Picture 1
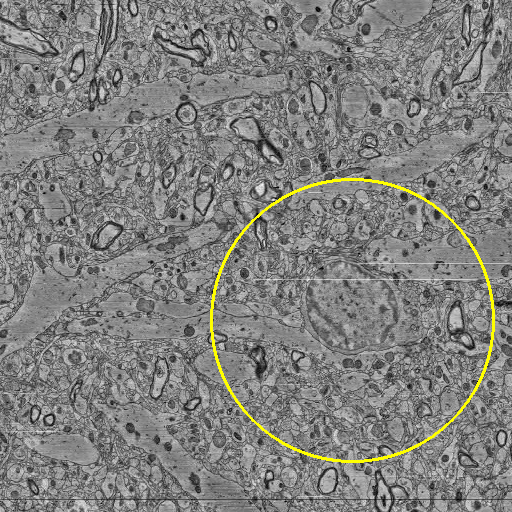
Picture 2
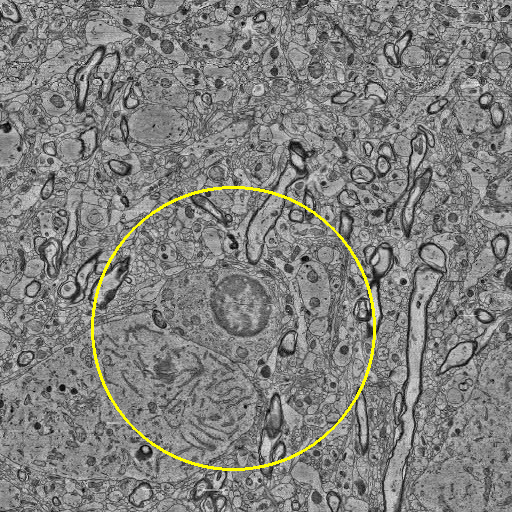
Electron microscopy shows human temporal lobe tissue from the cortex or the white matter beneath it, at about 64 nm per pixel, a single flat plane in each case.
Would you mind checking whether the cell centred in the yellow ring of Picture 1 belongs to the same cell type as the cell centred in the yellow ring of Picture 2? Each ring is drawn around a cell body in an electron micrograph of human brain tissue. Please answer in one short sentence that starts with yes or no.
Yes, both cells are of the same type.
